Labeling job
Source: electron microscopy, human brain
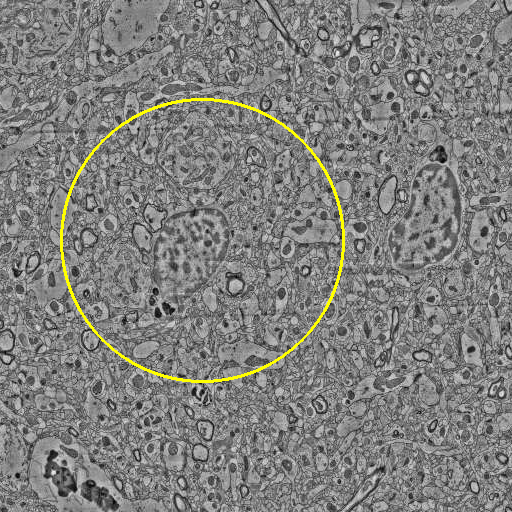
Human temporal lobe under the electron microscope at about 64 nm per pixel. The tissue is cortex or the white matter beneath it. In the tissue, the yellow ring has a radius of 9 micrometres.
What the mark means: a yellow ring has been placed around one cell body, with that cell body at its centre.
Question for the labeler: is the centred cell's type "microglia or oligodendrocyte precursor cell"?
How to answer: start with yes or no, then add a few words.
No, its type is another one.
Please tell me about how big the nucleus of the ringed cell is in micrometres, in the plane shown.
About 7 by 5 micrometres in this plane.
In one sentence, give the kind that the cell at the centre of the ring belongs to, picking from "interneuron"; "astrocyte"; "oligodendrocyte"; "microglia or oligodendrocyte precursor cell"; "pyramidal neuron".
Sitting at the ring centre is an oligodendrocyte.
